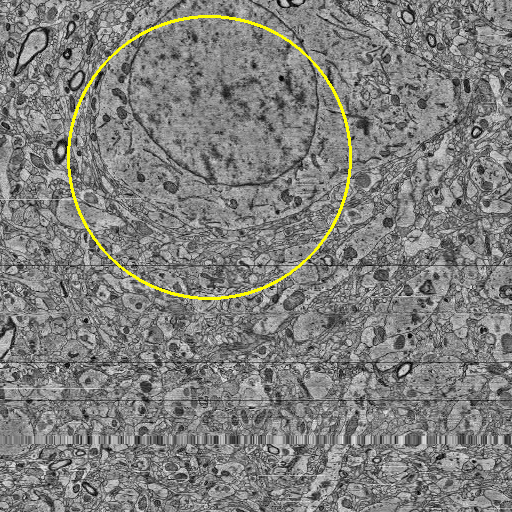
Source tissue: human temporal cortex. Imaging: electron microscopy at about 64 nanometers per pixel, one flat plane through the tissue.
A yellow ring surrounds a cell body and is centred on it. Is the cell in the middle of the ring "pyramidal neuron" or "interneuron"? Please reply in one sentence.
The ring is centred on a pyramidal neuron.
